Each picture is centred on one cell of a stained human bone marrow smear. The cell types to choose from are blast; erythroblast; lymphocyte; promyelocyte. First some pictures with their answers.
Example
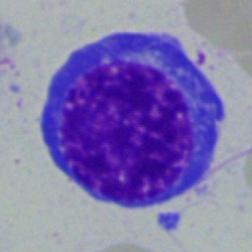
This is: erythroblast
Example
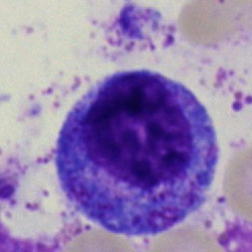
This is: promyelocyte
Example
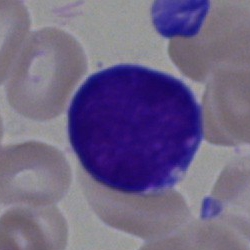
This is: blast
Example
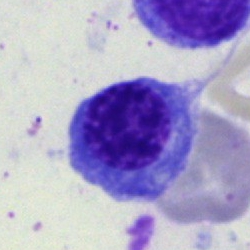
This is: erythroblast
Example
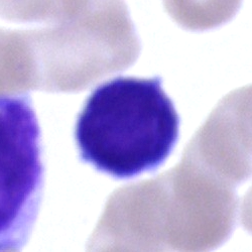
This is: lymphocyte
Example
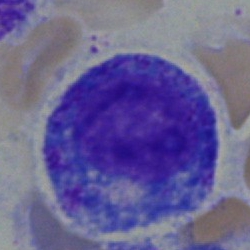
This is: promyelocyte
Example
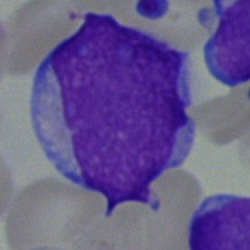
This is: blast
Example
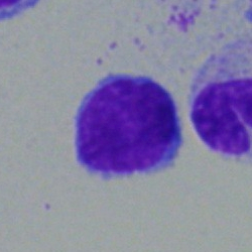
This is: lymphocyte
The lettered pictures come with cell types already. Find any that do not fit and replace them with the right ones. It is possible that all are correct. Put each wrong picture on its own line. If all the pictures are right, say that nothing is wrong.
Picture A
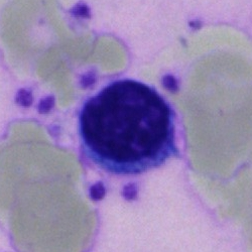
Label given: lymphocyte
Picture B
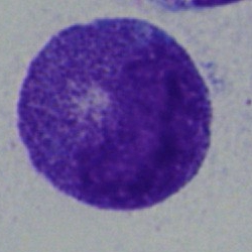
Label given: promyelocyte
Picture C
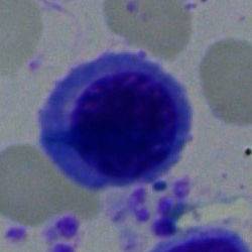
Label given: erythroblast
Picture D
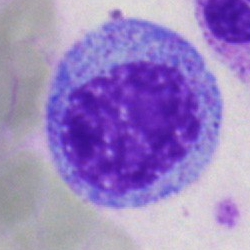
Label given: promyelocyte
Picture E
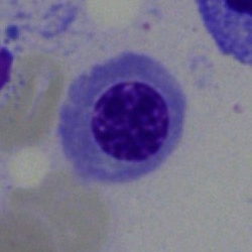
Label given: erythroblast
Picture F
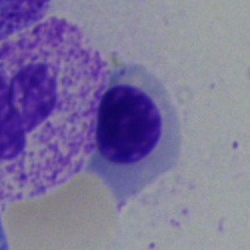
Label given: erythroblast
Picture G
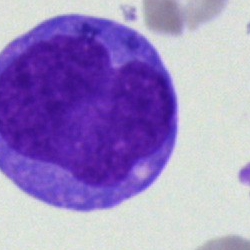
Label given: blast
Nothing to fix; every label fits.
